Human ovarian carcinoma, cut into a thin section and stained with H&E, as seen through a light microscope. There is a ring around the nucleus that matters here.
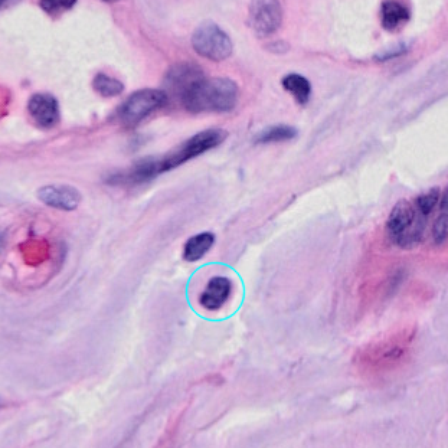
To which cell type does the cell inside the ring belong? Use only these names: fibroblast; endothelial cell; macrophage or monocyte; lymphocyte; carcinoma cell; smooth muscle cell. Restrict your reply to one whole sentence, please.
Placed in its cell category, the cell inside the ring is a lymphocyte.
